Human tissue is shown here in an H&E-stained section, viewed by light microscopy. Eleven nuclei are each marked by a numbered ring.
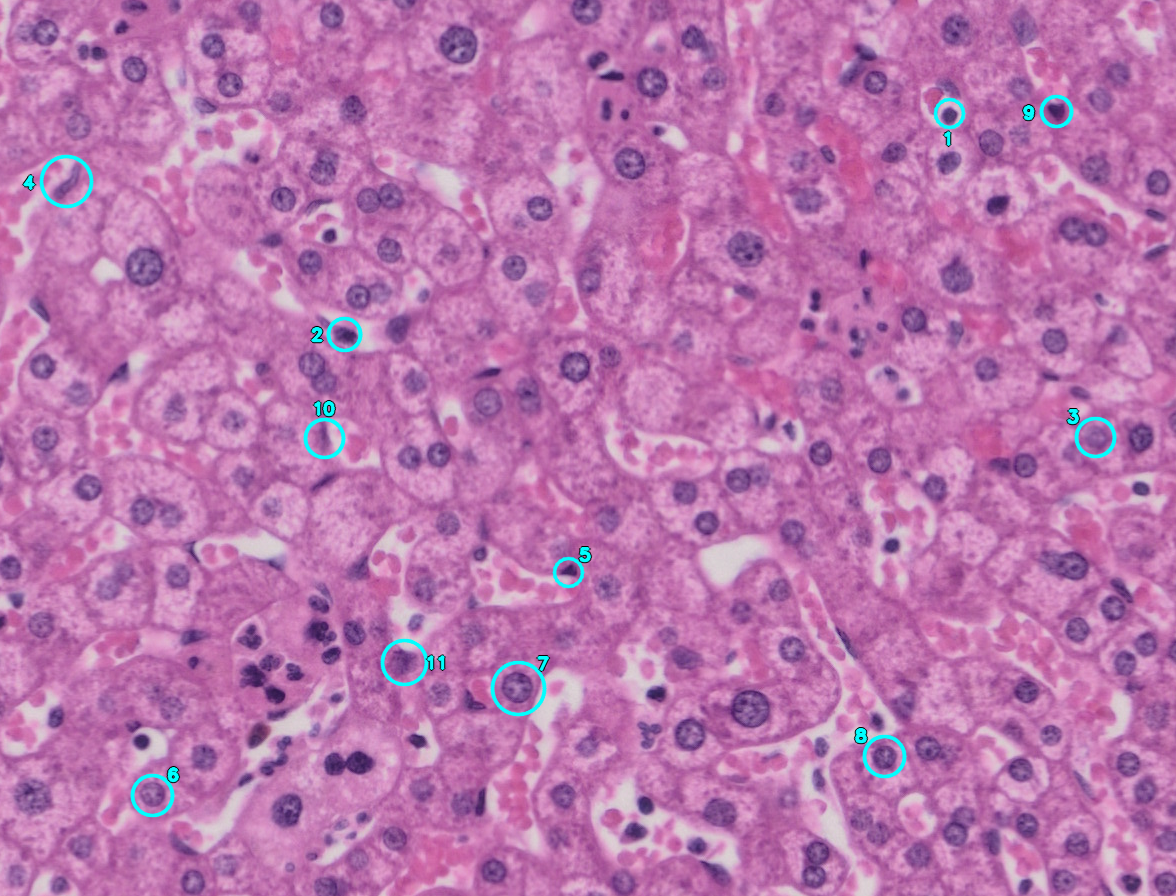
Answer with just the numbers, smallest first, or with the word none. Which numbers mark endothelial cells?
10, 11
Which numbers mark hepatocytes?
3, 6, 7, 8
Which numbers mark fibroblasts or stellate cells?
5, 9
